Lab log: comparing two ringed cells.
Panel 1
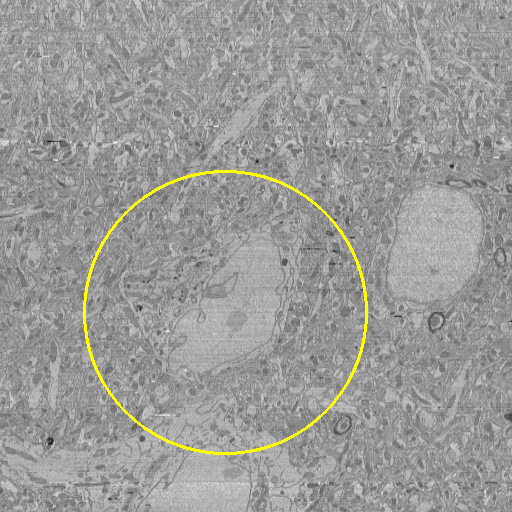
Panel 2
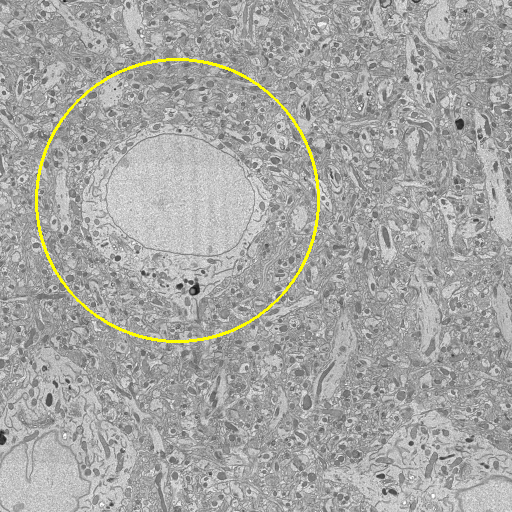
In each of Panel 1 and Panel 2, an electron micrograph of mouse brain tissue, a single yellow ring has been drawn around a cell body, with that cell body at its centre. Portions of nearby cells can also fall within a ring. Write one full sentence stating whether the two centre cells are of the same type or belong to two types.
The cells at the ring centres in Panel 1 and Panel 2 belong to two types.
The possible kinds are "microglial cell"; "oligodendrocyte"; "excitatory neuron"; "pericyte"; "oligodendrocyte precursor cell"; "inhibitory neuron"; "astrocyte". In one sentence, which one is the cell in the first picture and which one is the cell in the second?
The cell ringed in the second picture is an excitatory neuron, whereas the one ringed in the first is an inhibitory neuron.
